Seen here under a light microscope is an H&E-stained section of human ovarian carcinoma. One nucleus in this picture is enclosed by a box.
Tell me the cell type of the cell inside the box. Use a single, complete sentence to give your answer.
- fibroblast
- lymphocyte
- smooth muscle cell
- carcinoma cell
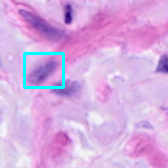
The category to which the cell inside the box belongs is that of a smooth muscle cell.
